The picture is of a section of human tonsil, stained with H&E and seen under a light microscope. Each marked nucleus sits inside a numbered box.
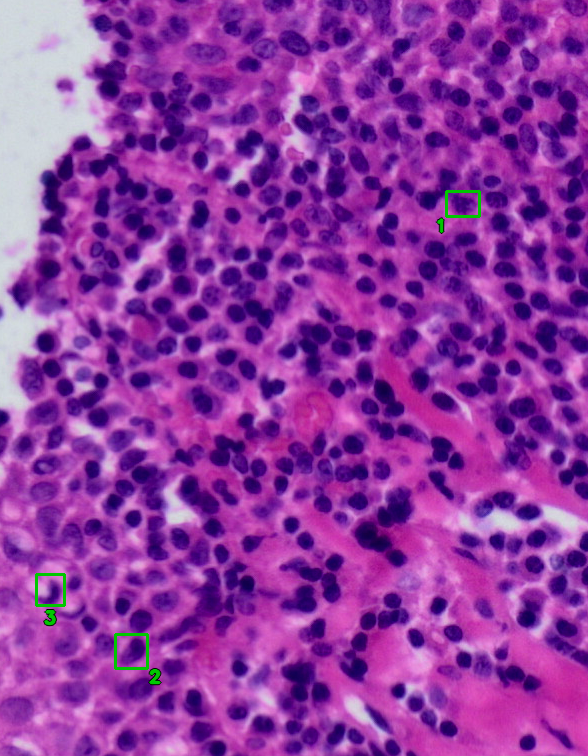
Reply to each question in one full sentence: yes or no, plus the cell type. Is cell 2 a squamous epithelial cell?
Yes, the cell bearing the number 2 is a squamous epithelial cell.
